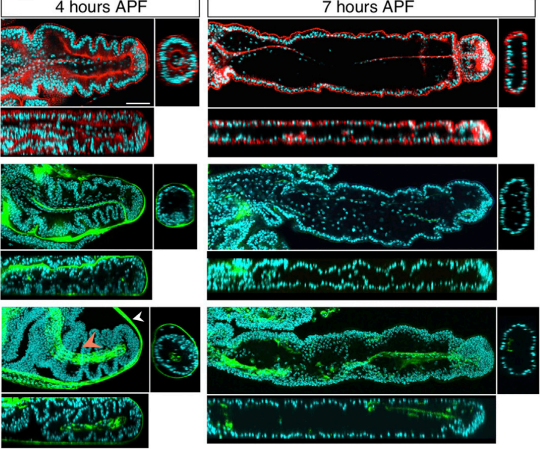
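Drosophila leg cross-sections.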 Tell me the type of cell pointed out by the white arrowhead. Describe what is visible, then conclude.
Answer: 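The white arrowhead points to a thin green layer enclosing the folded tissue. That points to this answer: peripodial membrane cells.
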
